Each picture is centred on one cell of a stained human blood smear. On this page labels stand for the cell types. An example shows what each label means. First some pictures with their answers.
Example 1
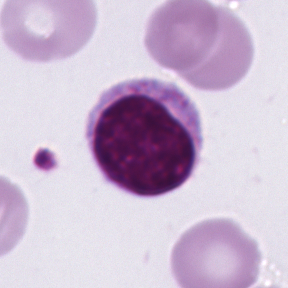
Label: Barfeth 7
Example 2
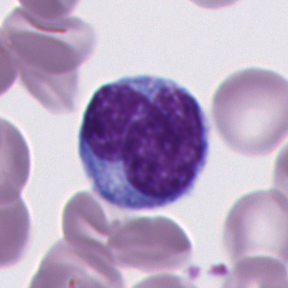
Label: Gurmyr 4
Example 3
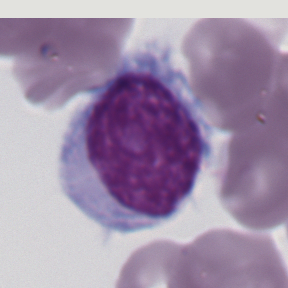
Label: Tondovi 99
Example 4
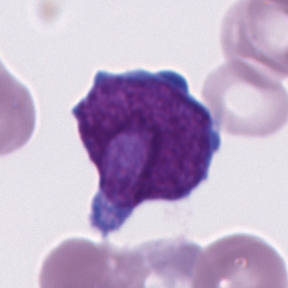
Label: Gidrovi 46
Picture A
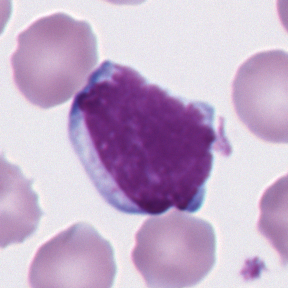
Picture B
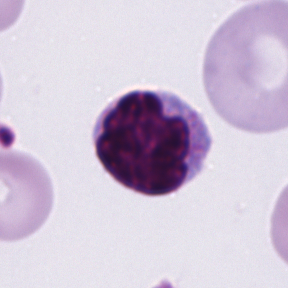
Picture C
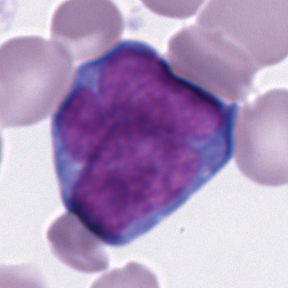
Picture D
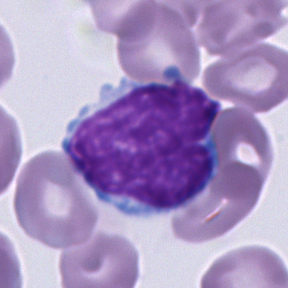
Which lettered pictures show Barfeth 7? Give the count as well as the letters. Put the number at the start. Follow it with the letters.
2: A, B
